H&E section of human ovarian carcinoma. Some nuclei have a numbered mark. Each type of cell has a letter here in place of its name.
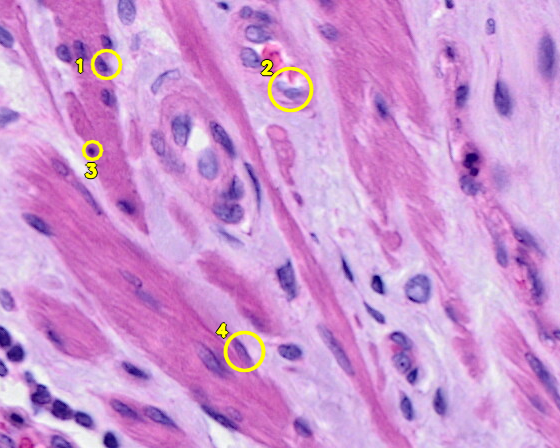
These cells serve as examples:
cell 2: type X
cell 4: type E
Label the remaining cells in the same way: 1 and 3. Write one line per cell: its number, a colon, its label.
1: type E
3: type E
